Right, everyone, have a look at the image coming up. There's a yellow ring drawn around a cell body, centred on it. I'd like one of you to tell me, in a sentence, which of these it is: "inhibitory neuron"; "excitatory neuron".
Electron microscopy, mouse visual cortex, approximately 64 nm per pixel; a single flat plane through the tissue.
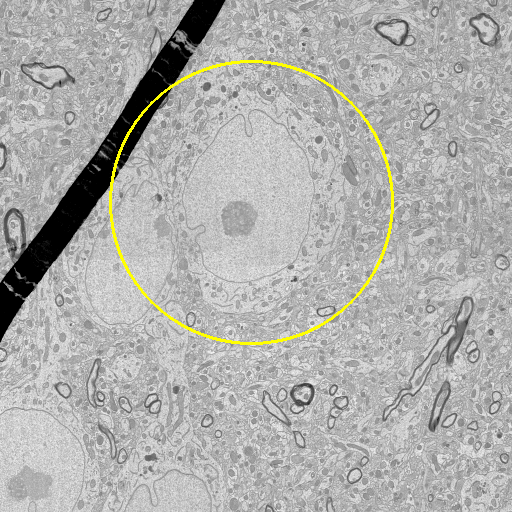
The yellow ring sits on an excitatory neuron.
